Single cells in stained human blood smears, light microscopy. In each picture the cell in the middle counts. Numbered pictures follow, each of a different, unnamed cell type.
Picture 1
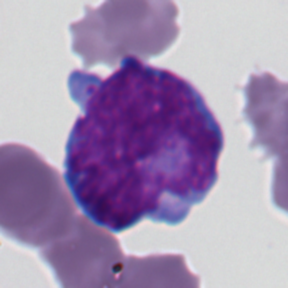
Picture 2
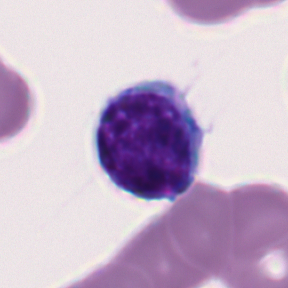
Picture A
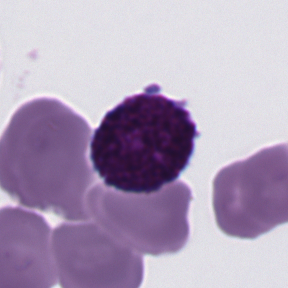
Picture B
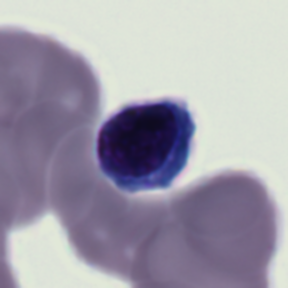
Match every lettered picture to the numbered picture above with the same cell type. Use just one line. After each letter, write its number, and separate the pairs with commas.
A 1, B 2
